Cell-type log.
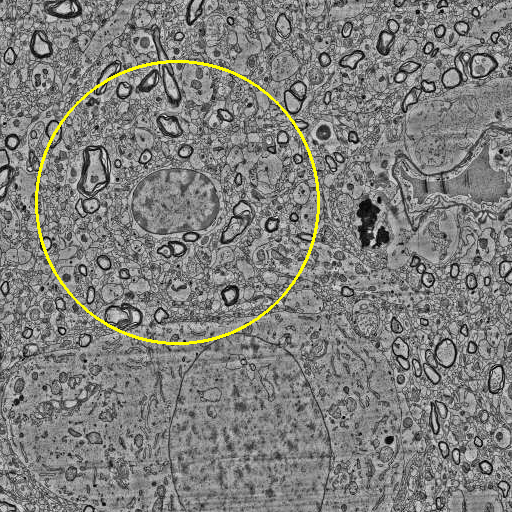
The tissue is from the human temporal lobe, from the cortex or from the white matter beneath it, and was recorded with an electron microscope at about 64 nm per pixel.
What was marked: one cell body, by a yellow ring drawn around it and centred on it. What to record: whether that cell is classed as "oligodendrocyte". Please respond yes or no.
No, the cell belongs to another class.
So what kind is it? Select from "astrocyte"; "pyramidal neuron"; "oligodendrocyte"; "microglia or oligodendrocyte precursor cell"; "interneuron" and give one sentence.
What the ring is centred on is a microglial cell or oligodendrocyte precursor cell.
